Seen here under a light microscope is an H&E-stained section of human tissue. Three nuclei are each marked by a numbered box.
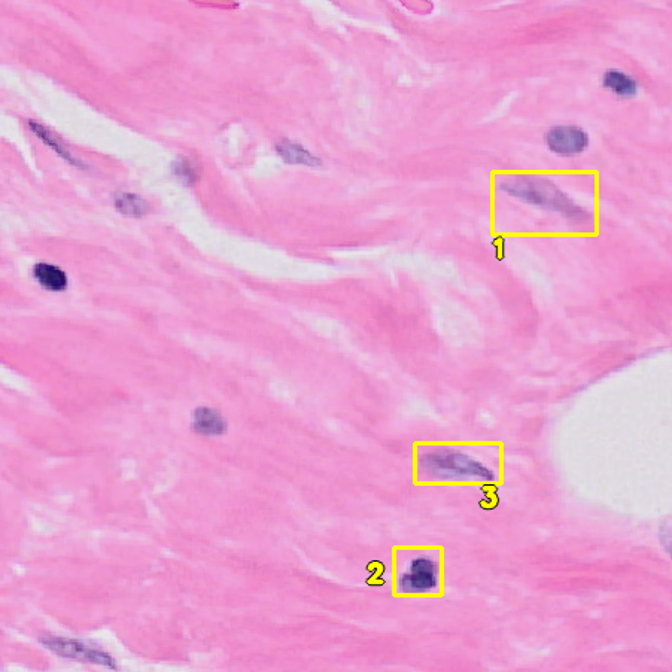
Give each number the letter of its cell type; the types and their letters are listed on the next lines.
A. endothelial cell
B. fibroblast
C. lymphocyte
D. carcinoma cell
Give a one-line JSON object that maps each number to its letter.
{"1": "B", "2": "C", "3": "B"}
